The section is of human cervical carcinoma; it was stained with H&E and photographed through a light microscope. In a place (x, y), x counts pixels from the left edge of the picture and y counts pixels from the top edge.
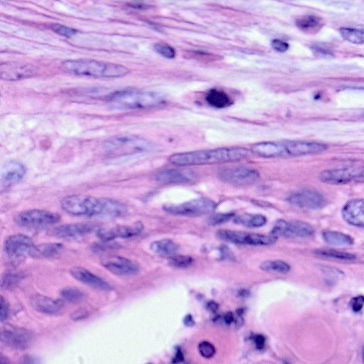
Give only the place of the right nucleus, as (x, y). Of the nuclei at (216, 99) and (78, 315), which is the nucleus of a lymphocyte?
(216, 99)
